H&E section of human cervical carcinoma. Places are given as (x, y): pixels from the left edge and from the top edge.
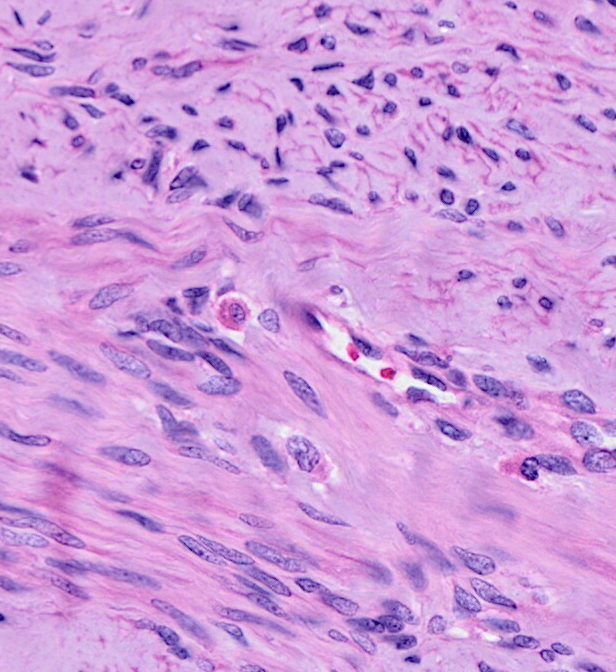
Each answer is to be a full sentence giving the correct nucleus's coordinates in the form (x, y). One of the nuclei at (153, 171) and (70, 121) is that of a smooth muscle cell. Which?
Between the two nuclei, the one sitting at (70, 121) belongs to a smooth muscle cell.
